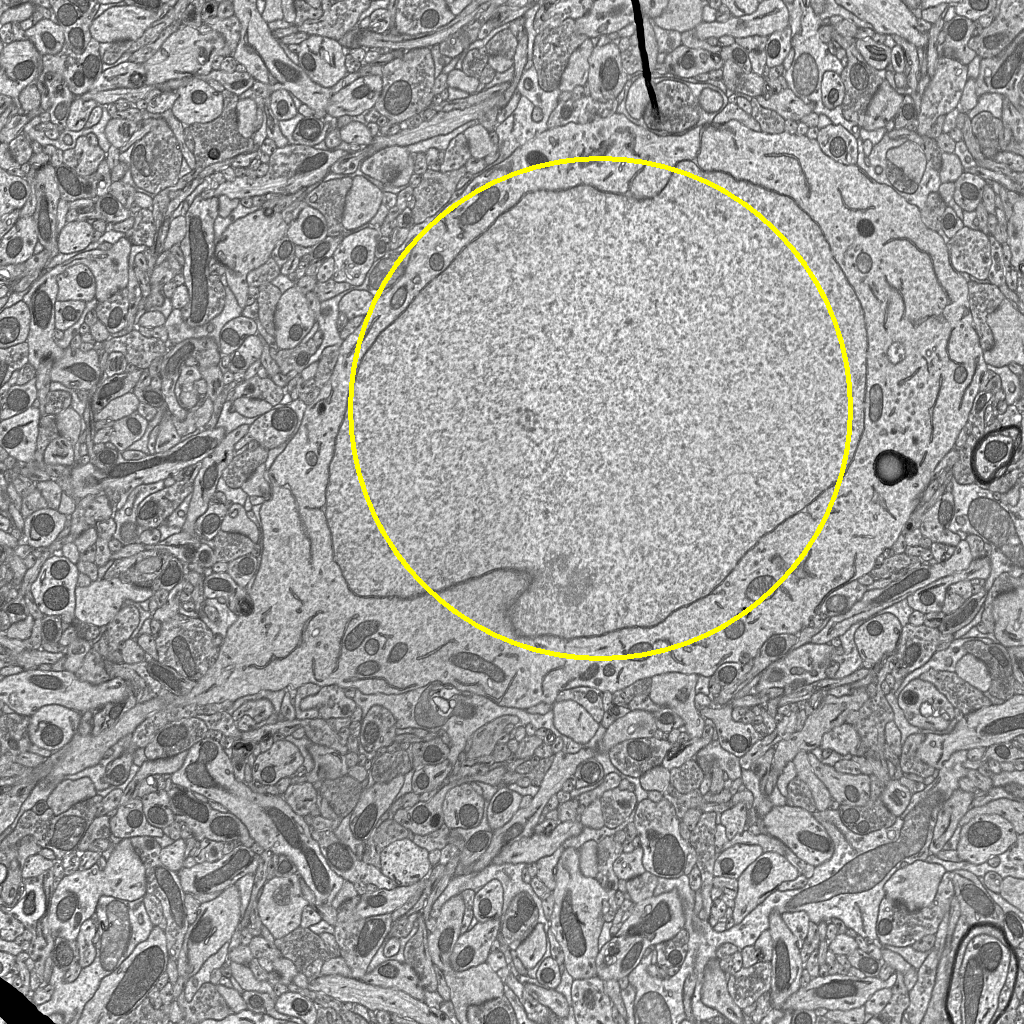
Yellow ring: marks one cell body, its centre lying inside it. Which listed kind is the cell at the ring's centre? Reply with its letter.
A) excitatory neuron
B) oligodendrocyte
A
